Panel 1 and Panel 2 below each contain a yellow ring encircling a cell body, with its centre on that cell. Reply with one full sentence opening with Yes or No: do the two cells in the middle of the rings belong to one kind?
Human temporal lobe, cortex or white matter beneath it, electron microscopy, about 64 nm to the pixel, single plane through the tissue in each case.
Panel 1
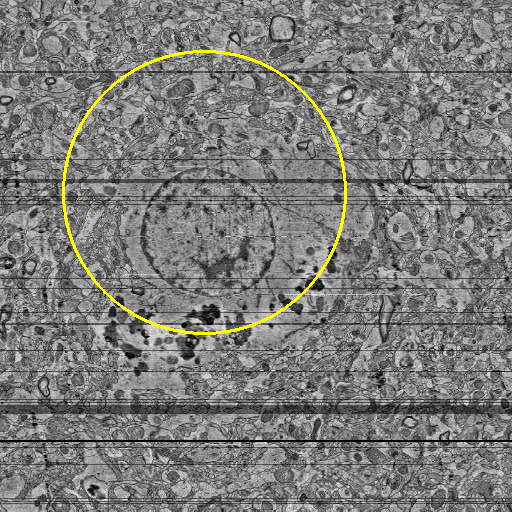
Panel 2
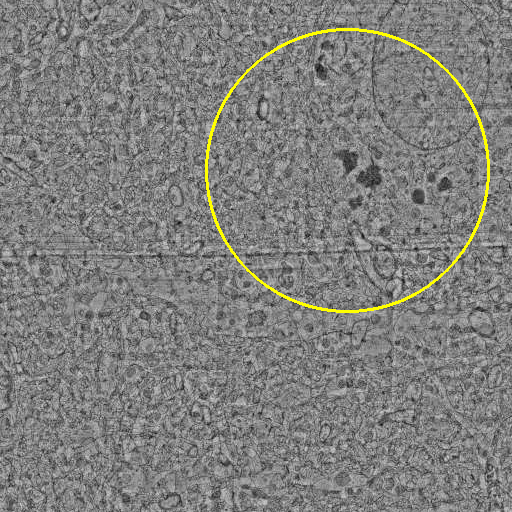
No, the cells at the middle of the Panel 1 ring and the Panel 2 ring are of two kinds.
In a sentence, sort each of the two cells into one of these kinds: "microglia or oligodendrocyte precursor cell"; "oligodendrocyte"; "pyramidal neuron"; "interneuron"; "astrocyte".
The first of the two cells is an astrocyte, and the second is an oligodendrocyte.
